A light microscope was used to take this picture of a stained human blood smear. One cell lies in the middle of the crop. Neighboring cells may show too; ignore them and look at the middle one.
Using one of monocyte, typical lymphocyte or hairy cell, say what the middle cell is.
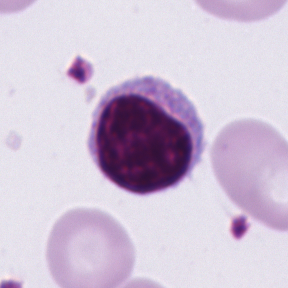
typical lymphocyte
